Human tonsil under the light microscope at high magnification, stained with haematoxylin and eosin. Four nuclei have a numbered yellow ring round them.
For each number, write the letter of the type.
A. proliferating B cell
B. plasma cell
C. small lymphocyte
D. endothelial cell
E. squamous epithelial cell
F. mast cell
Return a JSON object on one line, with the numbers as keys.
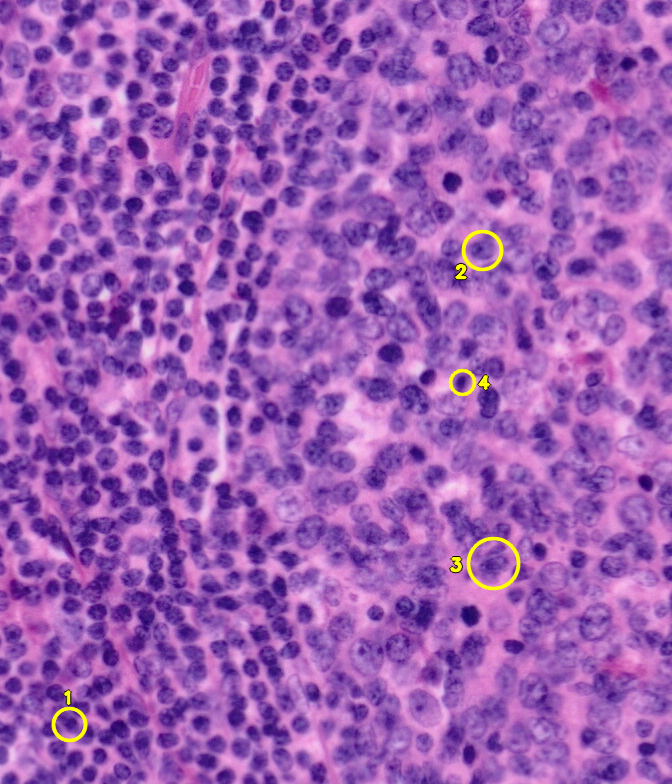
{"1": "C", "2": "A", "3": "A", "4": "A"}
